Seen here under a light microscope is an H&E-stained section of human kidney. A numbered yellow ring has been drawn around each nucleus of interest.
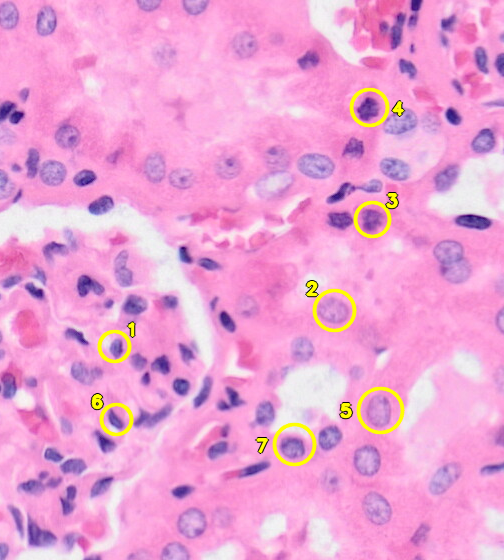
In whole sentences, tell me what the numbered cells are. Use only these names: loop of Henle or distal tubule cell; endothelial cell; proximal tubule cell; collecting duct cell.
Cells 1 and 6 are endothelial cells. Cells 2, 3, 4 and 5 are proximal tubule cells. Cell 7 is a loop of Henle or distal tubule cell.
